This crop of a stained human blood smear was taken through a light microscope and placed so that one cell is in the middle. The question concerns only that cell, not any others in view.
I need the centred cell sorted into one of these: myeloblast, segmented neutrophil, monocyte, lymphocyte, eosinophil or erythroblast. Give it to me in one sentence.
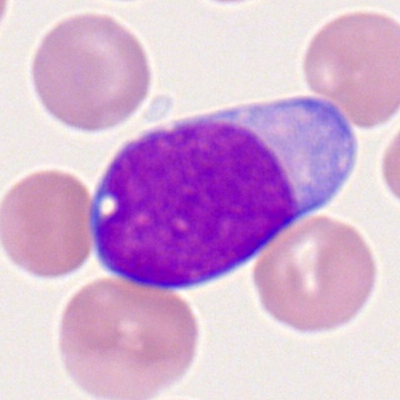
The crop shows a myeloblast in its centre.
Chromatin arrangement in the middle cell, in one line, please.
The chromatin is fine; coarse clumps are not a feature here.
